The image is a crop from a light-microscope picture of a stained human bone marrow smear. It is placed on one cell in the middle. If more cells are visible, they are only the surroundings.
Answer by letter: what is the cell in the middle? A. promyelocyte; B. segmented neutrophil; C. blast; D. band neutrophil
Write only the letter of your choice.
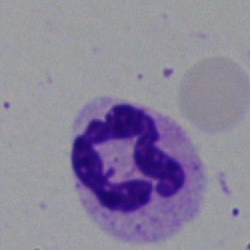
B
